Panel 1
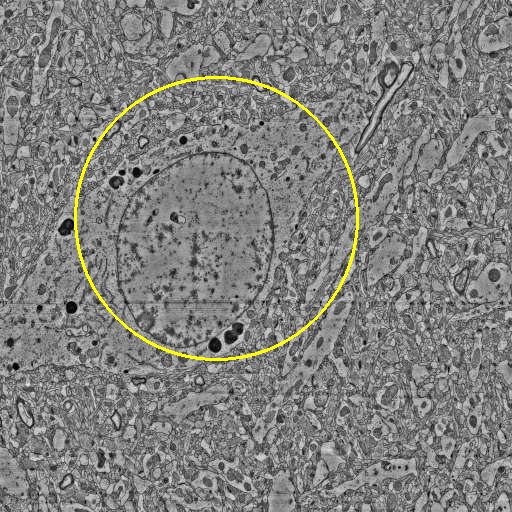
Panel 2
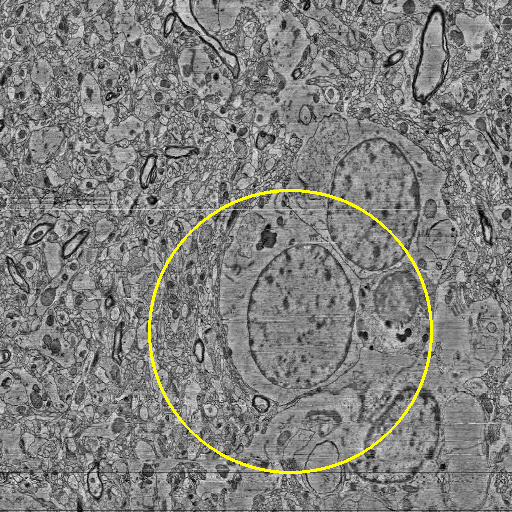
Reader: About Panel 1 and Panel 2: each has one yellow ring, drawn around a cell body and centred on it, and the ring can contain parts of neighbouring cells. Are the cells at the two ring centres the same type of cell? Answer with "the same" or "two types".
two types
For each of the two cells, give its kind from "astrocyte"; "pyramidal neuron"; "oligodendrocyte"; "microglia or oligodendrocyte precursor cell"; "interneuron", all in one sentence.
The first picture has a pyramidal neuron in its ring, the second has an astrocyte.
